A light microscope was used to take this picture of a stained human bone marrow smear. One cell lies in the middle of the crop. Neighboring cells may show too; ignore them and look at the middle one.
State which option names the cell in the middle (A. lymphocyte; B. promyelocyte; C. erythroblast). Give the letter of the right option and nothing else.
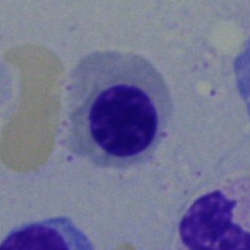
C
